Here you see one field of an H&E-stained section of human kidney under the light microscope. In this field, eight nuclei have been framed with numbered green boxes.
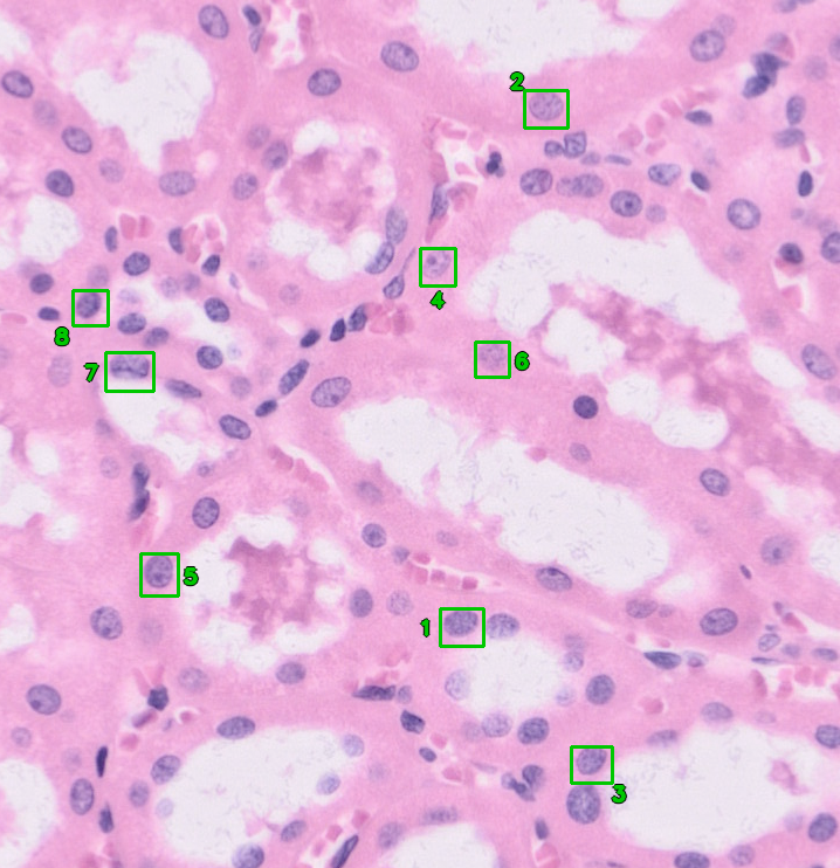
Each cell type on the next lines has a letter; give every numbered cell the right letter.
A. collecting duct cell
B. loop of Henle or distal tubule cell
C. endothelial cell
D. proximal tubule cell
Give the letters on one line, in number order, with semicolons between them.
B; D; B; D; D; D; B; B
